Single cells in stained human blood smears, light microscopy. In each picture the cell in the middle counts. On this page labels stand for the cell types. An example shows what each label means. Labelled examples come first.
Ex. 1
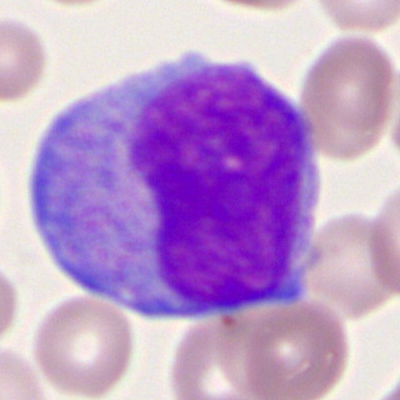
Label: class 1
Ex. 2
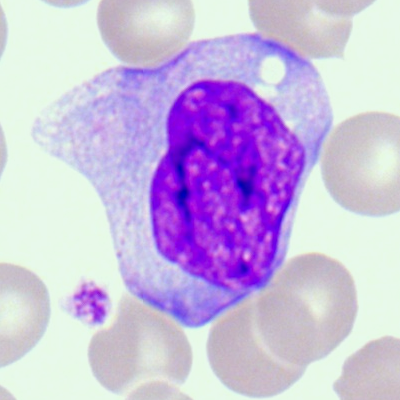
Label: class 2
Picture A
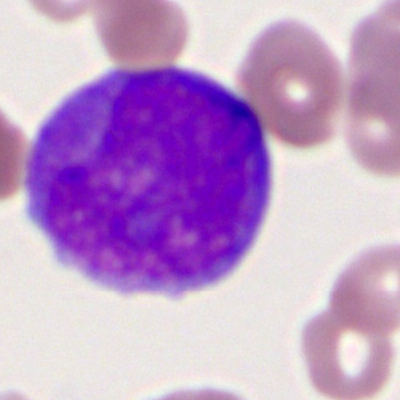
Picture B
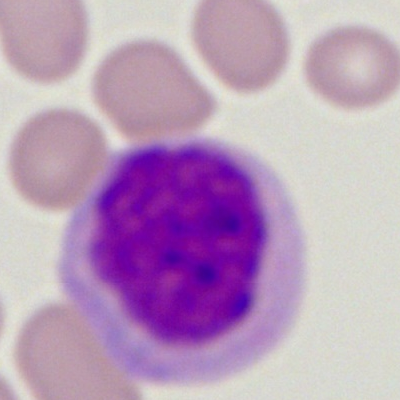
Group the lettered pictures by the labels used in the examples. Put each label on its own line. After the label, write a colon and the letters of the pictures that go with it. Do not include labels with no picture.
class 1: A
class 2: B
